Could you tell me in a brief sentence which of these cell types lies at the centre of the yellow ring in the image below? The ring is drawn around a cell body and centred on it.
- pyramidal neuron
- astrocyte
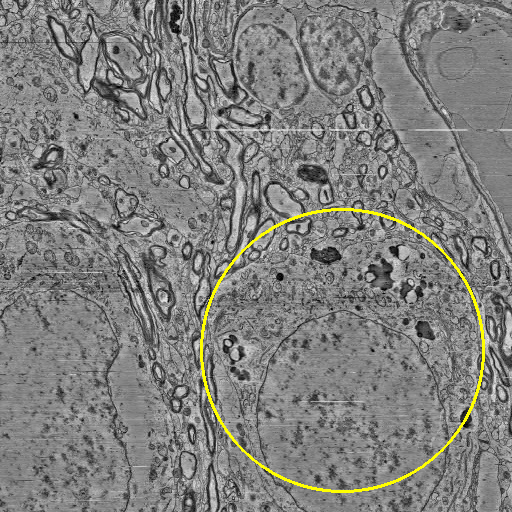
The cell centred in the ring is a pyramidal neuron.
